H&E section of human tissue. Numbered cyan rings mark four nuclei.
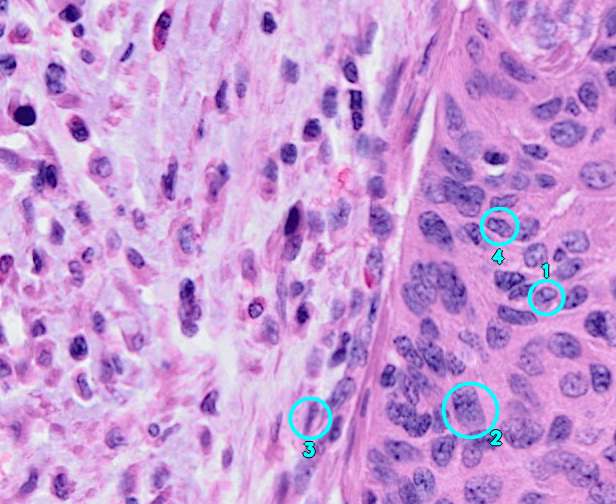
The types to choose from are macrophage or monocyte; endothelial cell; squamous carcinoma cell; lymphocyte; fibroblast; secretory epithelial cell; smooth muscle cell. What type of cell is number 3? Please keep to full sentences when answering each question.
In this section, the cell numbered 3 is a fibroblast.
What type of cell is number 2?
Number 2 is placed on a squamous carcinoma cell here.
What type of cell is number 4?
Recognised here as a squamous carcinoma cell is the cell numbered 4.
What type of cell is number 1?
The nucleus with number 1 is that of a squamous carcinoma cell.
